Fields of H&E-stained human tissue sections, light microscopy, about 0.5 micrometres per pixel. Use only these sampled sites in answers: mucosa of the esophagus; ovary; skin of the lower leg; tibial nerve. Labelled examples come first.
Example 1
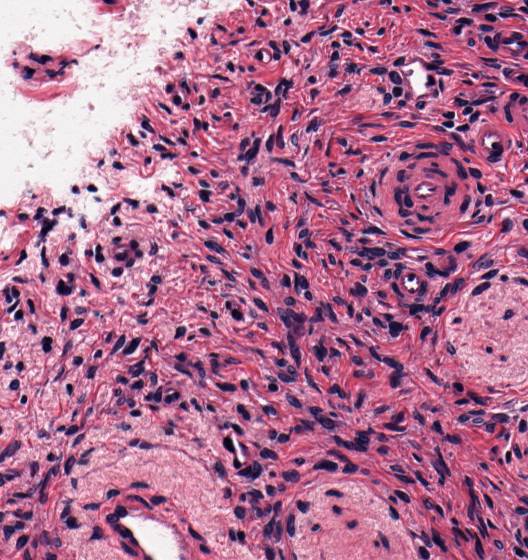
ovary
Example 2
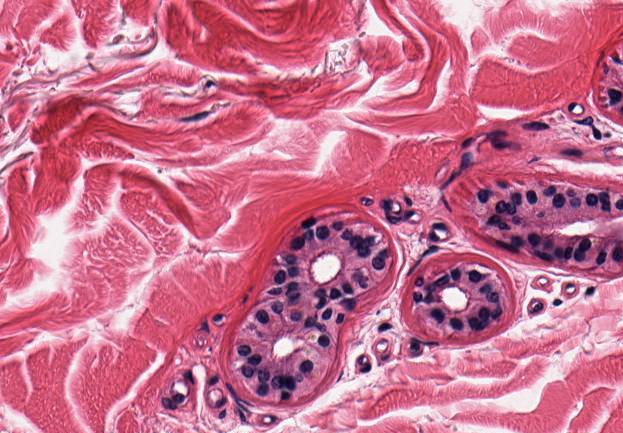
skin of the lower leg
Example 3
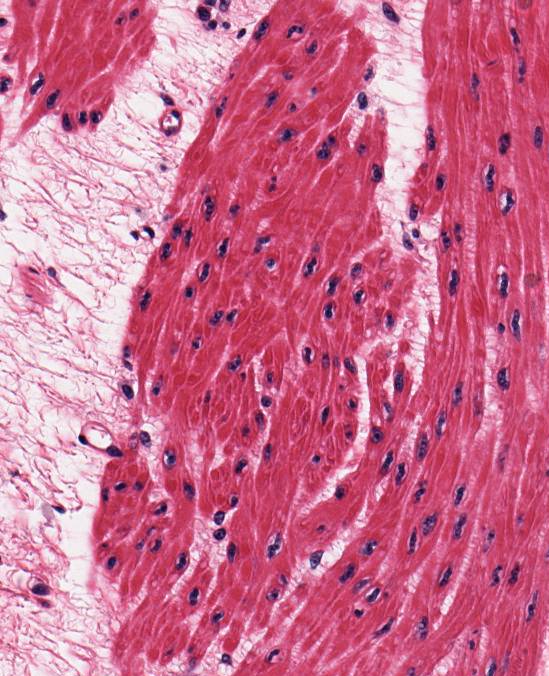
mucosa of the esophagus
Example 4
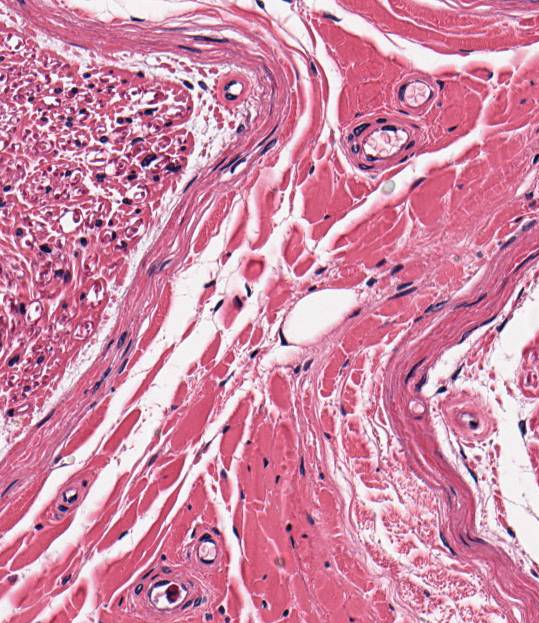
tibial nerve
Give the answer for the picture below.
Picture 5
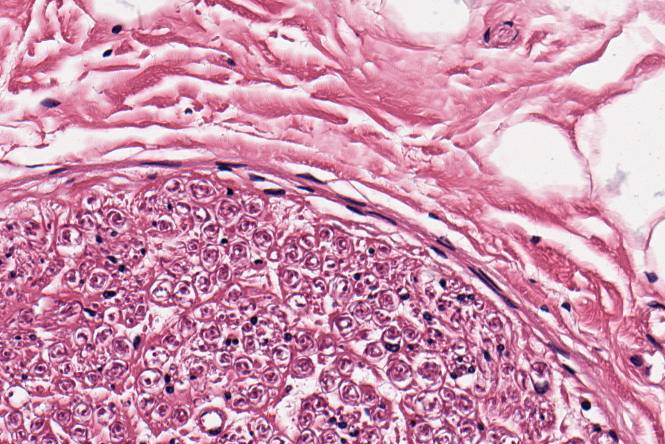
tibial nerve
